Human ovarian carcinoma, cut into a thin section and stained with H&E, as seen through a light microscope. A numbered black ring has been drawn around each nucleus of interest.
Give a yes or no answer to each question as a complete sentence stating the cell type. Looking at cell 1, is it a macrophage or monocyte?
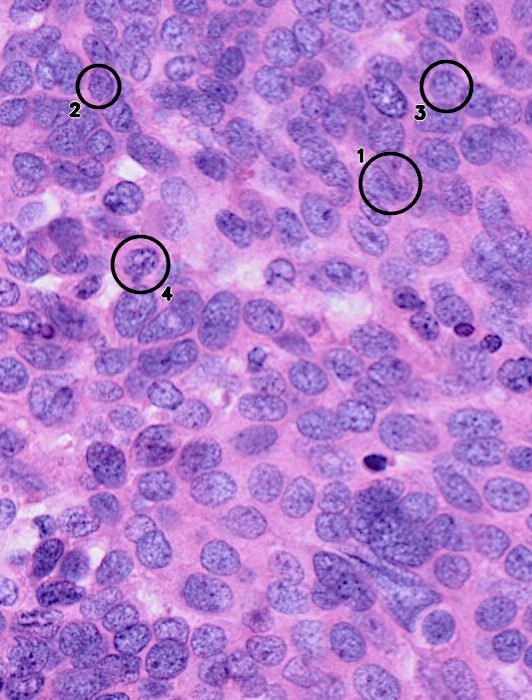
No, cell 1 is not to be taken for a macrophage or monocyte; it is a carcinoma cell.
